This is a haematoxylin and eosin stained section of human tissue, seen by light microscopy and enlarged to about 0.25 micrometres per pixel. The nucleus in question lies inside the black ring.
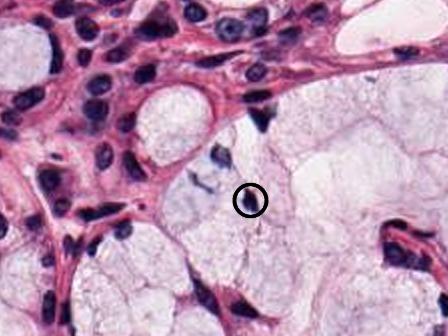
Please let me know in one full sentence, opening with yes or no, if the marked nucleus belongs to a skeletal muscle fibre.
No, it is a mucous gland cell and not a skeletal muscle fibre that contains the marked nucleus.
